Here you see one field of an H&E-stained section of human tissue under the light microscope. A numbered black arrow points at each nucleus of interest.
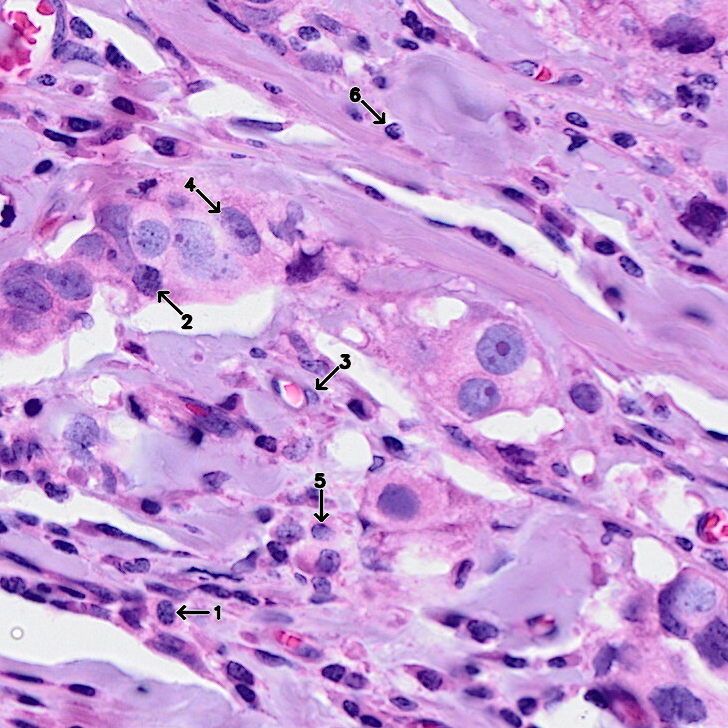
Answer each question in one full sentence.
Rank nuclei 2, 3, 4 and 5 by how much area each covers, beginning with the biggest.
The nuclei rank 4, 2, 5, 3, from largest to smallest.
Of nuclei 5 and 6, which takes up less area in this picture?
Nucleus 6 is the smaller one; nucleus 5 covers about 1.5 times its area.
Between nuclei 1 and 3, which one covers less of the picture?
Number 3 is smaller, since number 1 takes up about 2.5 times as much area.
